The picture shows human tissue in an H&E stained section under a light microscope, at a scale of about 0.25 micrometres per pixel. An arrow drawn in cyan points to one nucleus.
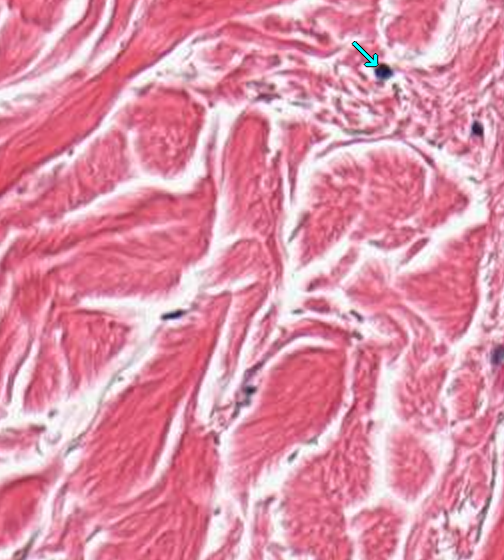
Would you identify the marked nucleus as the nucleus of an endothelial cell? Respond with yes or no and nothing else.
no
